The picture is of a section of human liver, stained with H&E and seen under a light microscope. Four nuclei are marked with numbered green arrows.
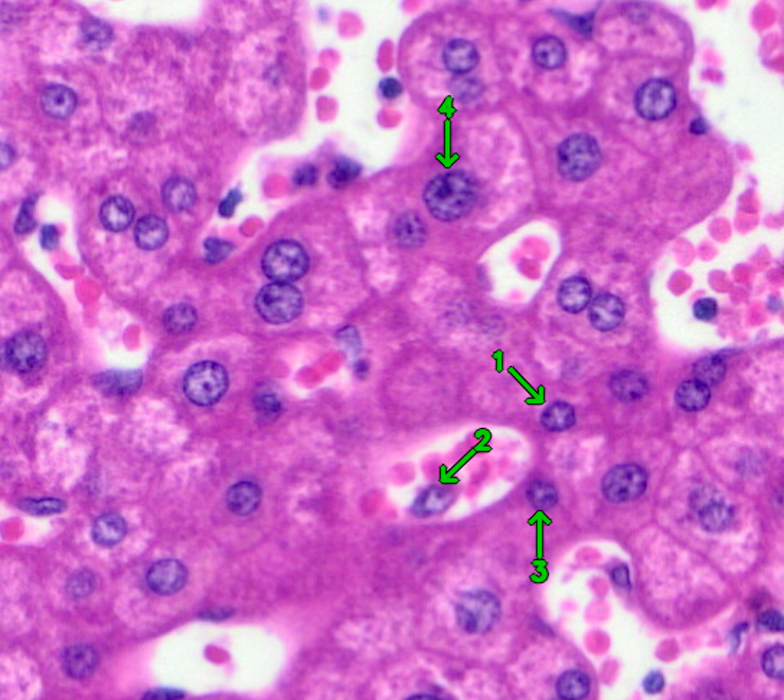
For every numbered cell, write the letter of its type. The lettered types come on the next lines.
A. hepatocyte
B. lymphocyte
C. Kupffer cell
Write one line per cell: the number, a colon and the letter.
1: A
2: C
3: A
4: A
